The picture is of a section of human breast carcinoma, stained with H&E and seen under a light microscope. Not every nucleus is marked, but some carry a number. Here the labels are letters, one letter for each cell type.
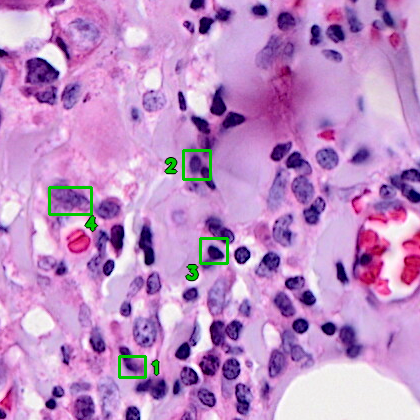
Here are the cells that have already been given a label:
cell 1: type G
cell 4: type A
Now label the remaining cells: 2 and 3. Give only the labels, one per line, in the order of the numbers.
type G
type G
